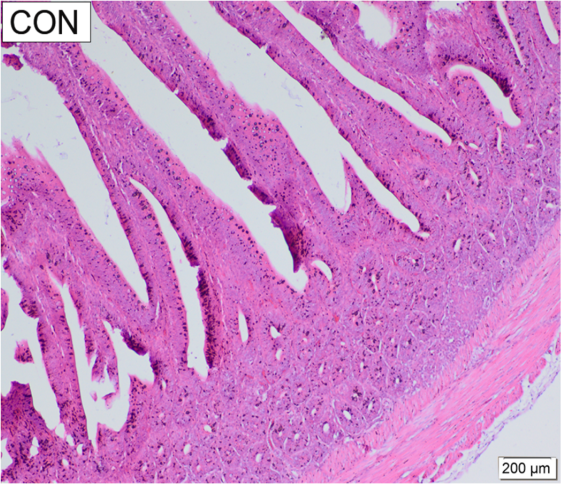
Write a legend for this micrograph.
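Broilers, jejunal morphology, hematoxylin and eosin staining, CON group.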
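Intestinal mucosa with broad finger-like villi projecting toward the upper left, separated by clear lumen spaces. The villi are covered by an epithelial layer with dark purple nuclei and pink cytoplasm. Beneath the villi lies a thick, densely packed pink layer containing small glandular crypt profiles. A band of pink smooth muscle runs along the lower right edge.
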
